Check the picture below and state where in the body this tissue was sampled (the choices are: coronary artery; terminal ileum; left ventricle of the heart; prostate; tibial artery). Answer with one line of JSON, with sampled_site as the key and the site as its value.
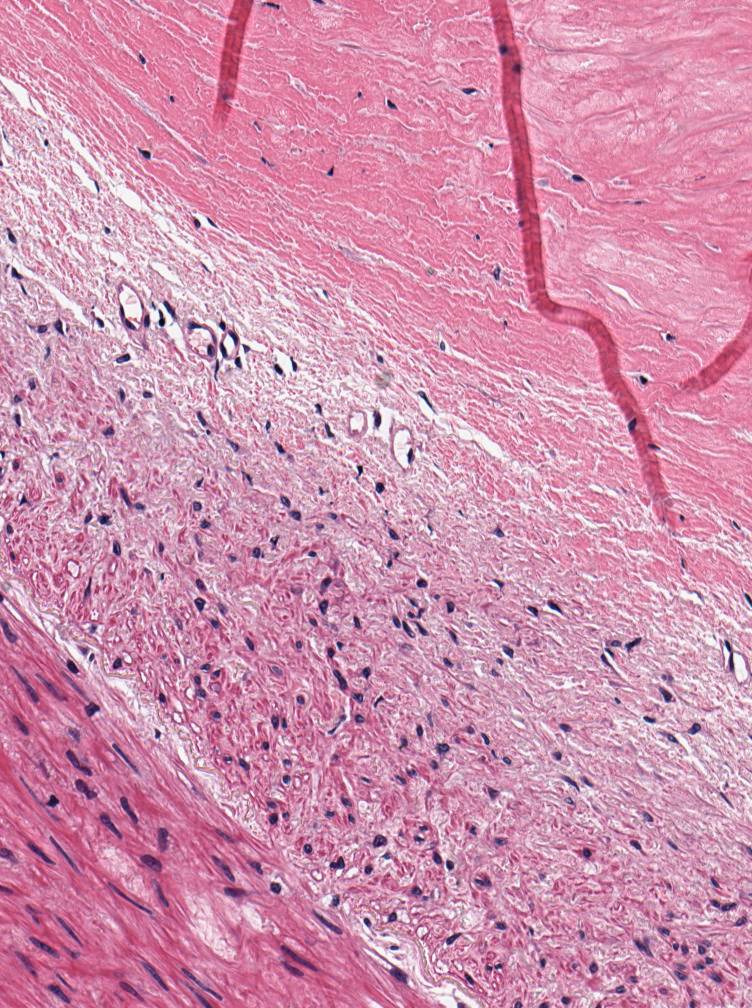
{"sampled_site": "coronary artery"}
